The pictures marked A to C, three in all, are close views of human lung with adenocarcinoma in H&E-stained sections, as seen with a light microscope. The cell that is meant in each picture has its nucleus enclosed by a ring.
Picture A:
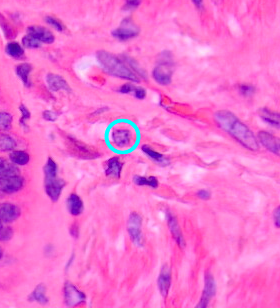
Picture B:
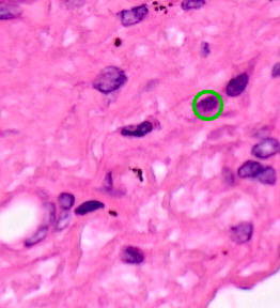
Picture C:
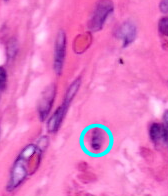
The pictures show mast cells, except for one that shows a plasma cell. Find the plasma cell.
B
